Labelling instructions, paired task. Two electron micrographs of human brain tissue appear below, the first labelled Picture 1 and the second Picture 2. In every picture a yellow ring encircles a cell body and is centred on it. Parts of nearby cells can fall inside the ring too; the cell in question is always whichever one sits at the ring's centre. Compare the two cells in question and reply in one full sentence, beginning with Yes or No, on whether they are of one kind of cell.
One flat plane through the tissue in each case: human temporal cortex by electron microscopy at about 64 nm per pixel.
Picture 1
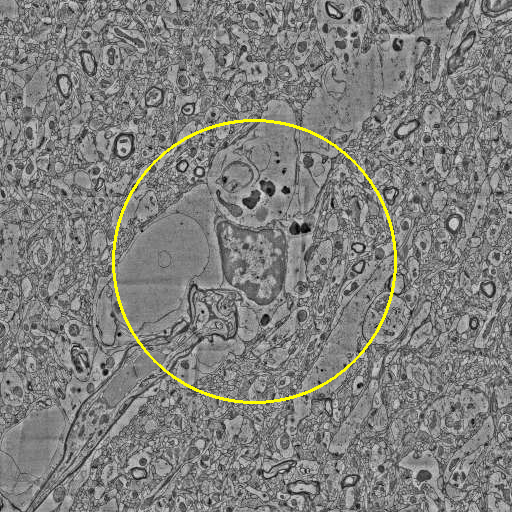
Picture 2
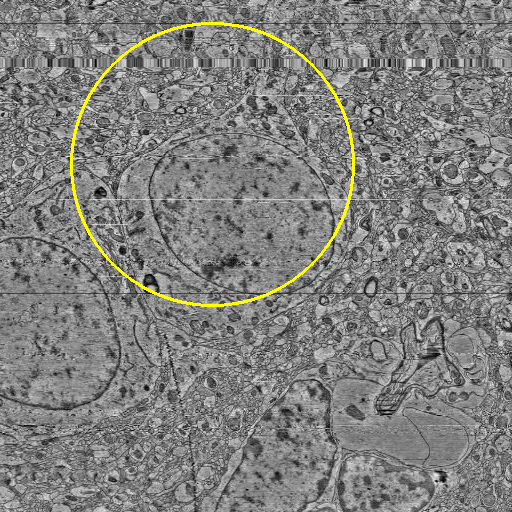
No, the two cells at the ring centres in Picture 1 and Picture 2 are of two kinds.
